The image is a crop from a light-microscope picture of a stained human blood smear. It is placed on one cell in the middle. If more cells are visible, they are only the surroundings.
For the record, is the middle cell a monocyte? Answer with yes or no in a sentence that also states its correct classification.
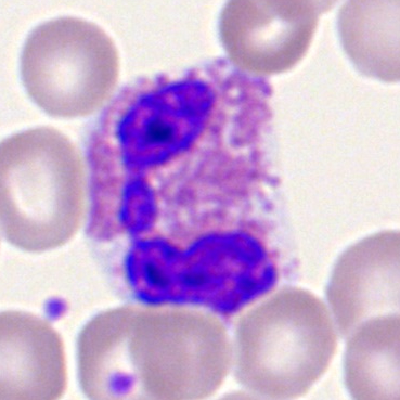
No, the cell at the centre of the crop corresponds to an eosinophil, not a monocyte.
